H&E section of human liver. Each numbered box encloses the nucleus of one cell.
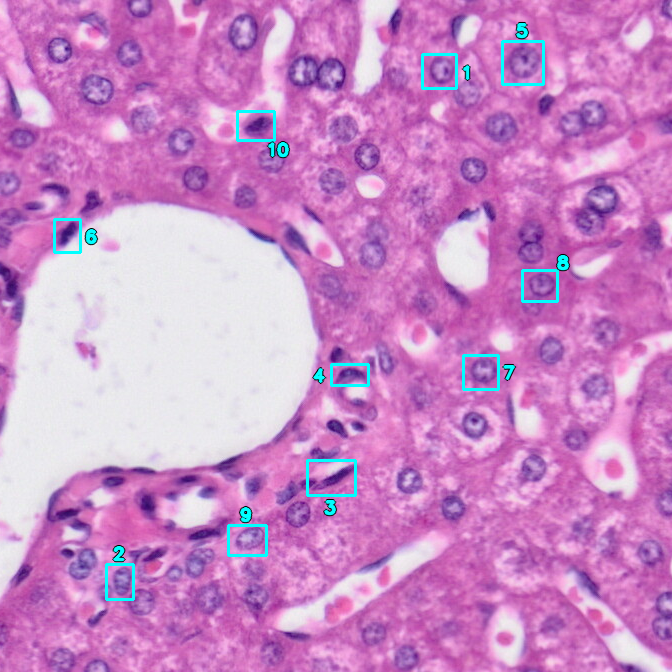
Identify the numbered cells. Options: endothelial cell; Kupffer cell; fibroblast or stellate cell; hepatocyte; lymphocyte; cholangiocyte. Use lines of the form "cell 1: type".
cell 1: hepatocyte
cell 2: cholangiocyte
cell 3: fibroblast or stellate cell
cell 4: fibroblast or stellate cell
cell 5: hepatocyte
cell 6: fibroblast or stellate cell
cell 7: hepatocyte
cell 8: hepatocyte
cell 9: cholangiocyte
cell 10: Kupffer cell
